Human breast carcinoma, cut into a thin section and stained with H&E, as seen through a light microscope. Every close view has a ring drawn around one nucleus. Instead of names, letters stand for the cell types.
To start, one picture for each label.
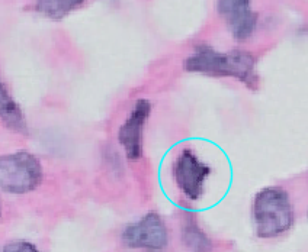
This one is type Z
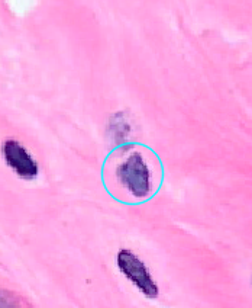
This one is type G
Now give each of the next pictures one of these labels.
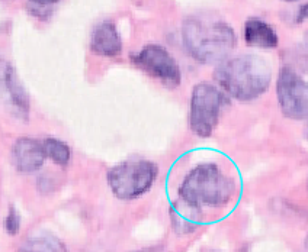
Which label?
type Z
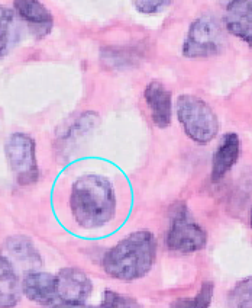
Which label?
type Z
